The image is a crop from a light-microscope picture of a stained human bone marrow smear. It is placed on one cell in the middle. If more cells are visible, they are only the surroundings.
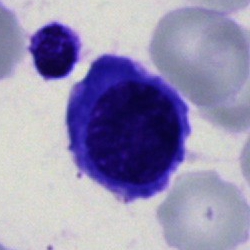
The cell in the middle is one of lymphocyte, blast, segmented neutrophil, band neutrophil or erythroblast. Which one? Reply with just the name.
erythroblast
